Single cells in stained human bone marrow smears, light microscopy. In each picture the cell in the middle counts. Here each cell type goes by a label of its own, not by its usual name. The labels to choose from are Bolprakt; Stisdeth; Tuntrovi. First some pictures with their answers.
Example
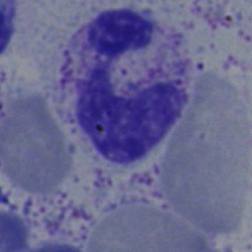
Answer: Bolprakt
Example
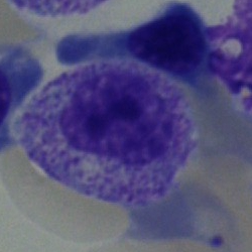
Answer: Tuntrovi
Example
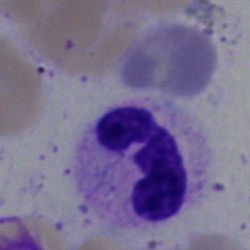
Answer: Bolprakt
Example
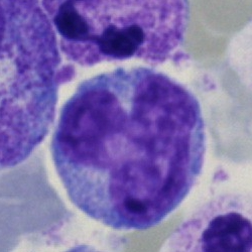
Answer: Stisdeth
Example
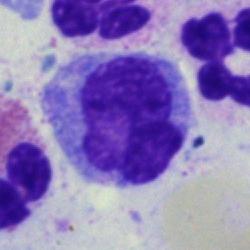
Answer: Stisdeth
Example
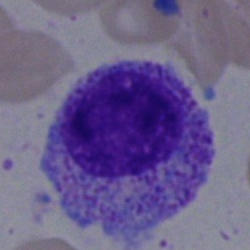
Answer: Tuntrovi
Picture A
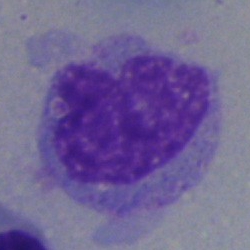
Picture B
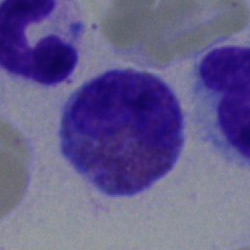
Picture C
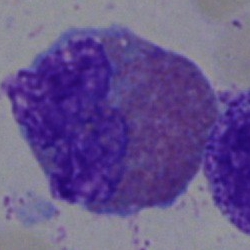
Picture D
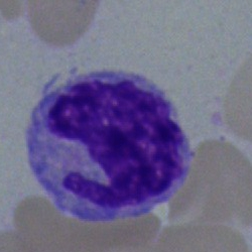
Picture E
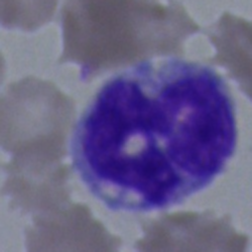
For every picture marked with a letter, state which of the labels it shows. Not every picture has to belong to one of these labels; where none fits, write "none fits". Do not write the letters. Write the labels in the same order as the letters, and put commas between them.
Stisdeth, none fits, none fits, Stisdeth, Stisdeth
